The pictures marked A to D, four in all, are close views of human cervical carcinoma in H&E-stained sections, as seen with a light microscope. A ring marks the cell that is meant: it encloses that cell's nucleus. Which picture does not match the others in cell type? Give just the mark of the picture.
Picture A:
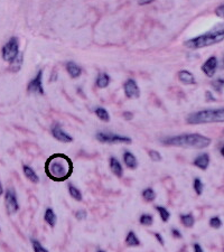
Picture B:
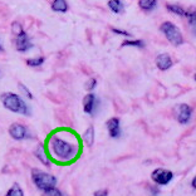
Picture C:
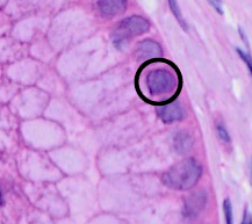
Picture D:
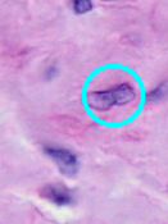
C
